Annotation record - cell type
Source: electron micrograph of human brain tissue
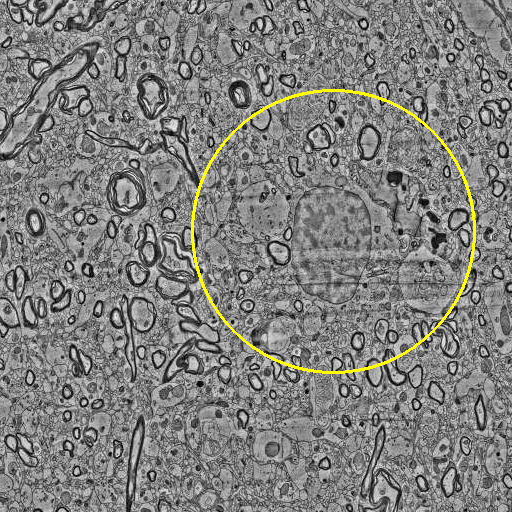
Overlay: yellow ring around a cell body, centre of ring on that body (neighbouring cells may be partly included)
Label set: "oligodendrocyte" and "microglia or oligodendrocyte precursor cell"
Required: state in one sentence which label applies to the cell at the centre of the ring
This cell should be labelled as an oligodendrocyte.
